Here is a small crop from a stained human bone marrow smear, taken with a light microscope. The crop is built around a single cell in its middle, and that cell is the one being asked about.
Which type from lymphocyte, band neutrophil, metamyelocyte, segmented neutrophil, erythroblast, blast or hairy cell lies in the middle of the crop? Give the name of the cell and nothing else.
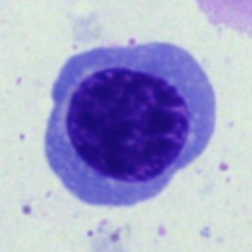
erythroblast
